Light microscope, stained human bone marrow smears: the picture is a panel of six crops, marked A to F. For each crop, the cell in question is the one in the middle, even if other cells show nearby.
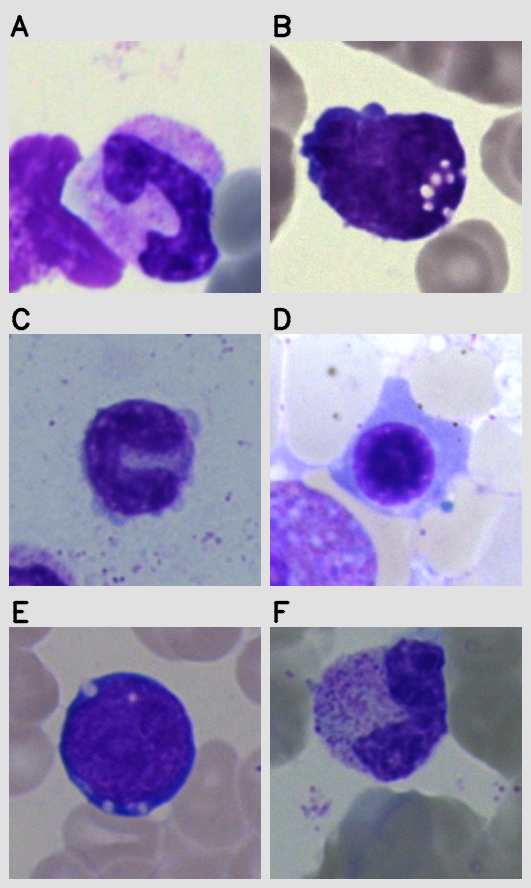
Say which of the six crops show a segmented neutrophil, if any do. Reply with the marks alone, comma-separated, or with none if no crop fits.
none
